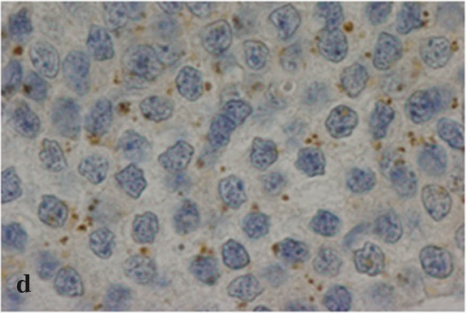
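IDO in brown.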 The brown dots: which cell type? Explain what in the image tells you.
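Fine brown dots lie in the cytoplasm around round to oval nuclei. The cells form a uniform sheet with similar nuclei.
Answer: tumour cells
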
